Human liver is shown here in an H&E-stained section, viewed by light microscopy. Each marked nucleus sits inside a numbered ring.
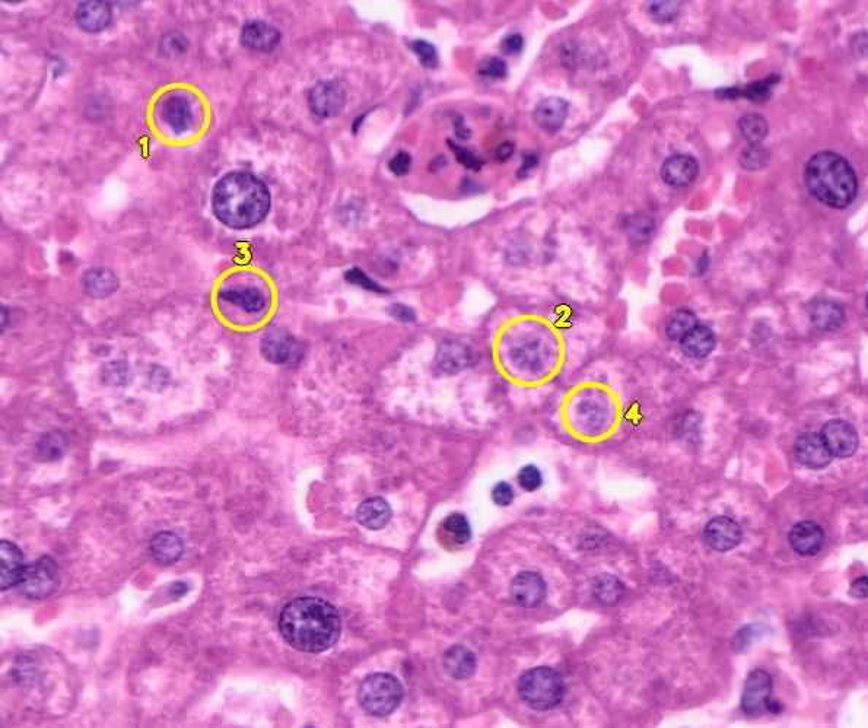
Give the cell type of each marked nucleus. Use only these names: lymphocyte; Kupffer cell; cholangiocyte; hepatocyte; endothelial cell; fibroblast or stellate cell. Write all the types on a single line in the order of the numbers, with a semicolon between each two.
endothelial cell; hepatocyte; fibroblast or stellate cell; hepatocyte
